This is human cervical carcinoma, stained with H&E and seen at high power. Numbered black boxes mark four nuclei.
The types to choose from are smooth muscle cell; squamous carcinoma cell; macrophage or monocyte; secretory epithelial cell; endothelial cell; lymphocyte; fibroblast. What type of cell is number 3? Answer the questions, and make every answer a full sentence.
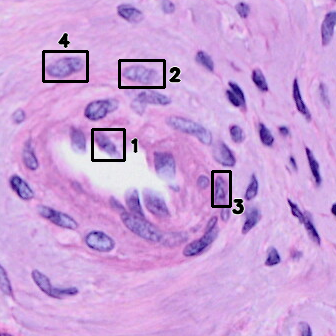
The cell that carries the label 3 is a smooth muscle cell.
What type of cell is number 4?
The expected answer is that cell 4 is a smooth muscle cell.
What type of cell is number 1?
Cell 1 should be recorded as an endothelial cell.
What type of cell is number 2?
The correct answer for cell 2 is a smooth muscle cell.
